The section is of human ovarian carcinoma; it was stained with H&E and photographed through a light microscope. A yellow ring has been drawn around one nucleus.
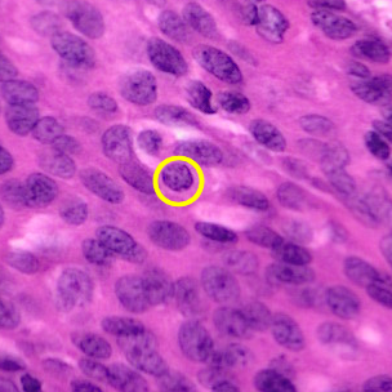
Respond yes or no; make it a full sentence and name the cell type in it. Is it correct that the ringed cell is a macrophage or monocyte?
Yes, in terms of cell type, the ringed cell is a macrophage or monocyte.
